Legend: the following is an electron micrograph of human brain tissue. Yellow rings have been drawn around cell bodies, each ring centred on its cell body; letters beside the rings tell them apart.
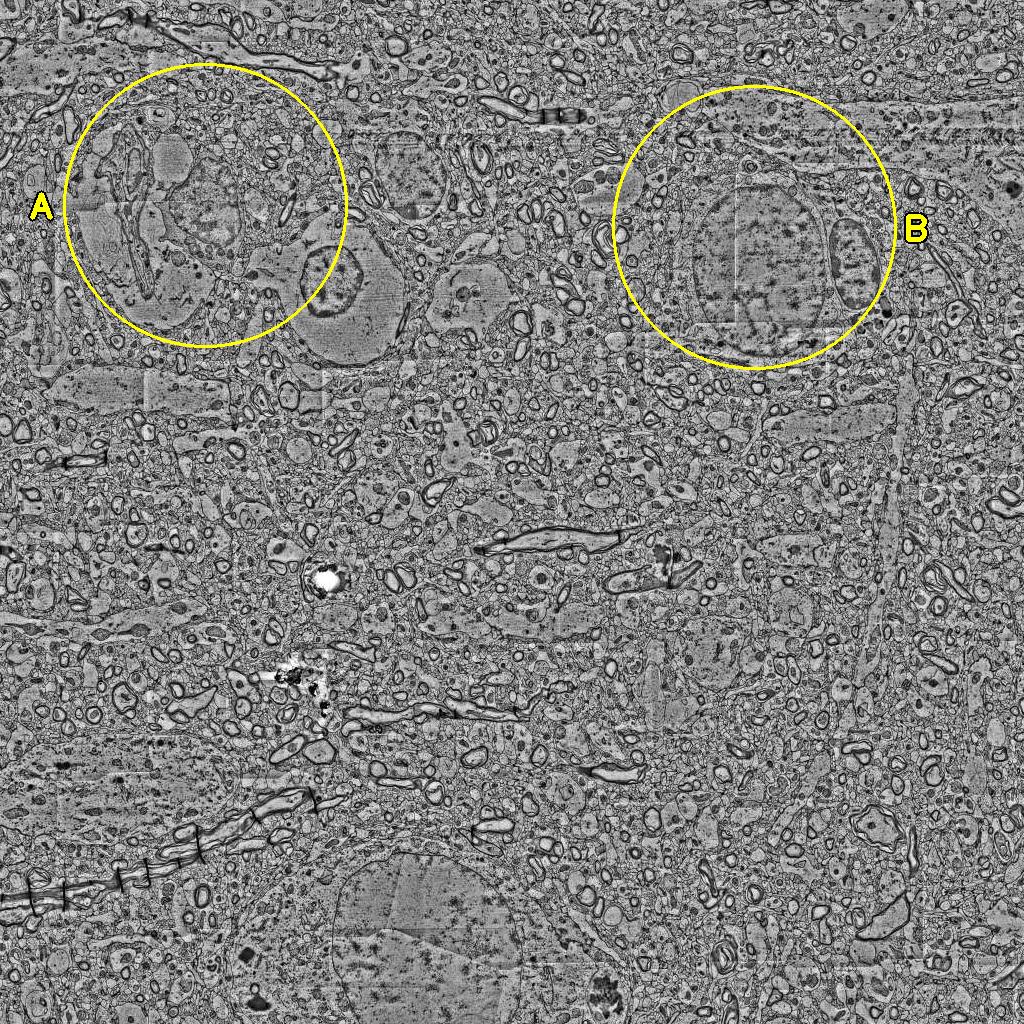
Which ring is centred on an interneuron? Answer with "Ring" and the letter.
Ring B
